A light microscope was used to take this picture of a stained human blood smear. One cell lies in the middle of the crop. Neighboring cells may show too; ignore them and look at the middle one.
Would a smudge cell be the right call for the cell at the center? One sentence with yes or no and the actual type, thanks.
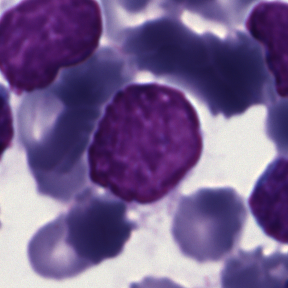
Yes, placed in the middle of the crop is a smudge cell.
